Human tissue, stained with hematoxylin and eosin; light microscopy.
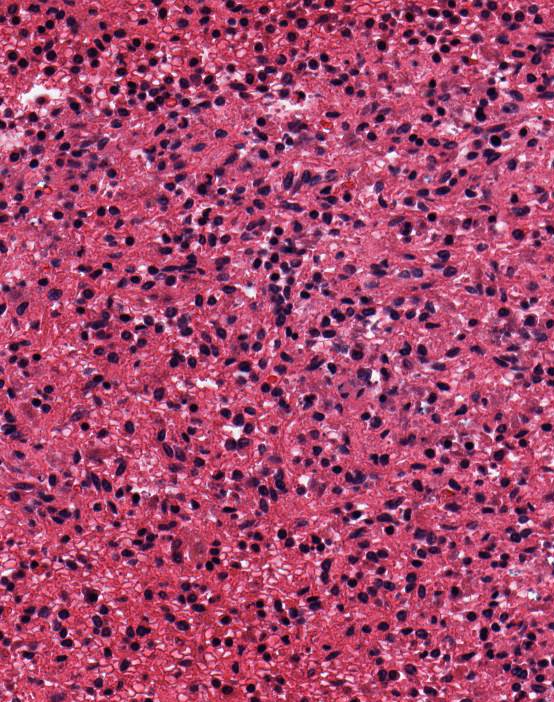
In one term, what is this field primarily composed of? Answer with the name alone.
red pulp of the spleen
